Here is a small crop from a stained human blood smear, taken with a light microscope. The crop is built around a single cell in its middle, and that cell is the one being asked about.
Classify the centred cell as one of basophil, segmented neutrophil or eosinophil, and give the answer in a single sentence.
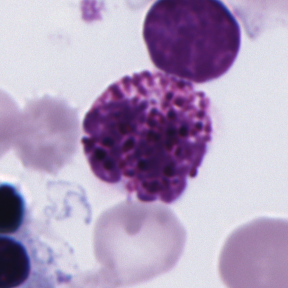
In the middle of this smear crop, the cell is a basophil.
